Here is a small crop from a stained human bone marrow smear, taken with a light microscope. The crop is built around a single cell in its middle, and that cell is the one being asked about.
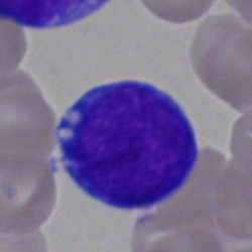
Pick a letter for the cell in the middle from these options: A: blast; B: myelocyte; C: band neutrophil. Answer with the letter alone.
A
